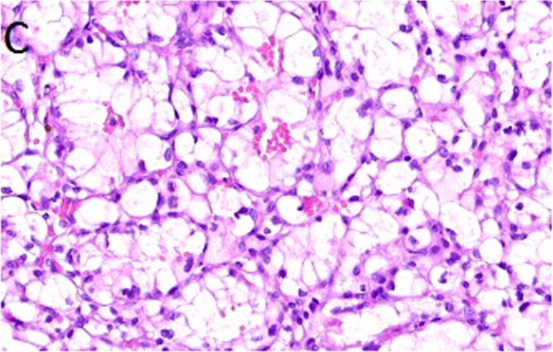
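Tumour cells with transparent, clear cytoplasm are arranged in small acinar groups with sharp, vivid cell borders. Their nuclei are small and dark, mostly lying at the base of the cells, and some are irregular in shape. Thin capillaries containing red blood cells run between the groups of cells.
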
